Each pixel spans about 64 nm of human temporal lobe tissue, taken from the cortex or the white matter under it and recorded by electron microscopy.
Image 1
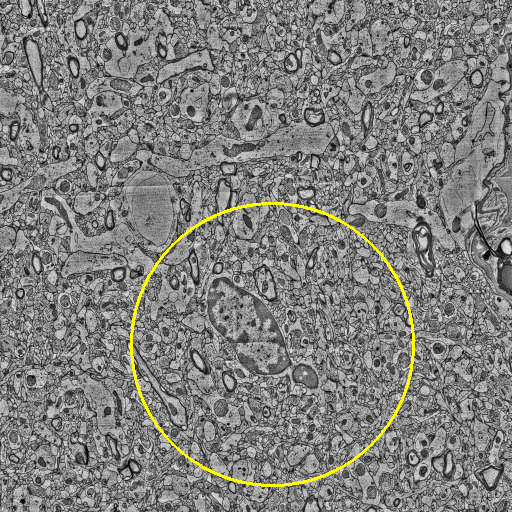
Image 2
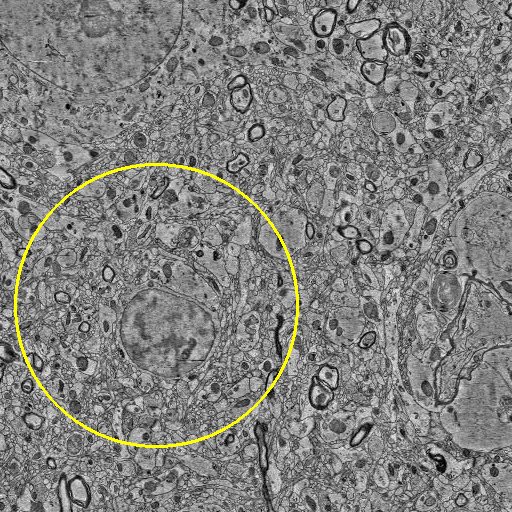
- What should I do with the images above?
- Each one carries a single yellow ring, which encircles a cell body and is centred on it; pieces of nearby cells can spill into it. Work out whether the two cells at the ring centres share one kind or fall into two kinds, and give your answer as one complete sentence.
The ring-centre cells of Image 1 and Image 2 fall into two kinds.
